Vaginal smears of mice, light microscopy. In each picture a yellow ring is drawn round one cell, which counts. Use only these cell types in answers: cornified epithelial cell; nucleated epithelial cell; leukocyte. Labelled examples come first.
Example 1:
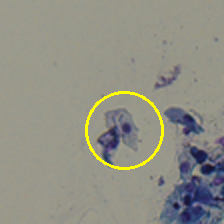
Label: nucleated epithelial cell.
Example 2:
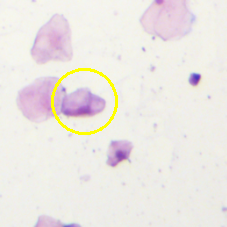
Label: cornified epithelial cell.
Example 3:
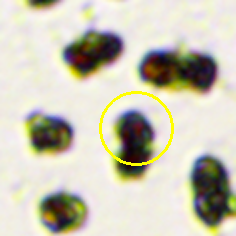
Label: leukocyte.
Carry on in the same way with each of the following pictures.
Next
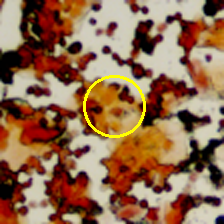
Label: nucleated epithelial cell.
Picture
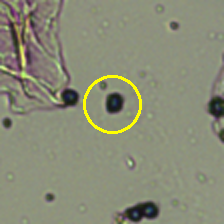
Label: leukocyte.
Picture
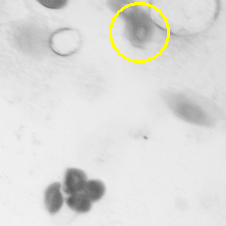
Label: nucleated epithelial cell.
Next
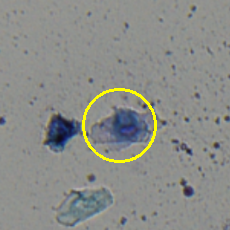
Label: nucleated epithelial cell.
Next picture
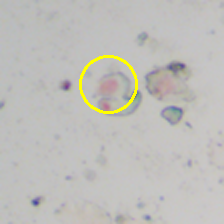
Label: nucleated epithelial cell.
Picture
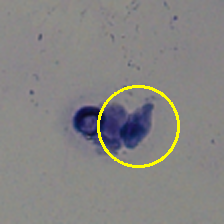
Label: nucleated epithelial cell.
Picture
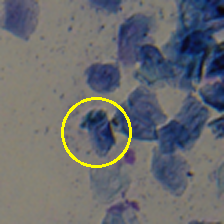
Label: cornified epithelial cell.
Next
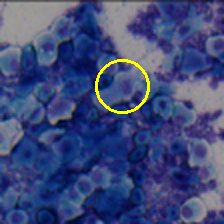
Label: nucleated epithelial cell.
